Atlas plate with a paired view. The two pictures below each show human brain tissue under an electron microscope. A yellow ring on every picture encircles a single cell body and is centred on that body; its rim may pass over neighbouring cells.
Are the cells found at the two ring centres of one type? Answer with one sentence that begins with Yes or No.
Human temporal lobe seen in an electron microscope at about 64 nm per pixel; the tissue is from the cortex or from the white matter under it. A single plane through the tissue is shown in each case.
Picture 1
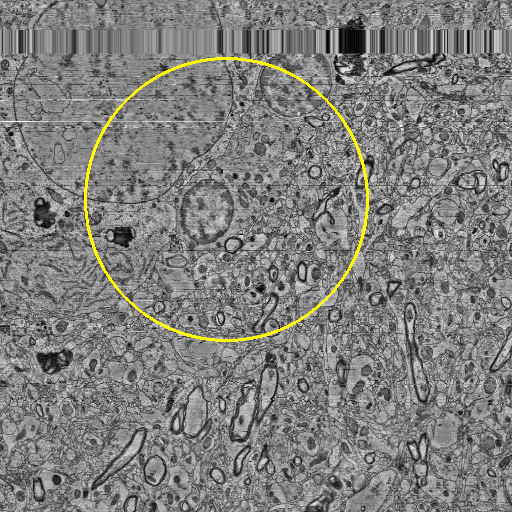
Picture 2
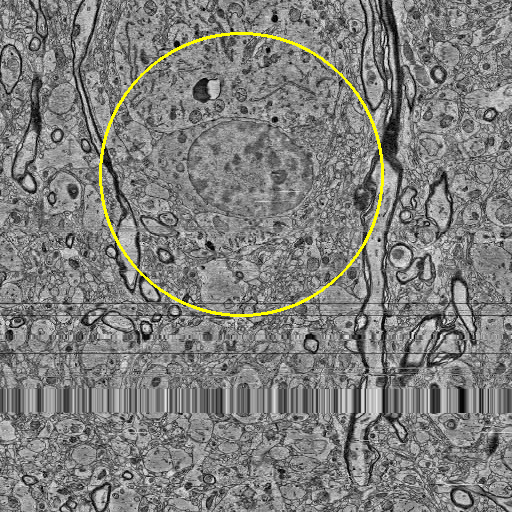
Yes, the two cells lying at the centres of the rings share a single type.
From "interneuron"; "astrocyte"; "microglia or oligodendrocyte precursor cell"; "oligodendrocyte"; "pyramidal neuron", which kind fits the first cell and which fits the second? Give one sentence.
In each of the two pictures, the ringed cell is an oligodendrocyte.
